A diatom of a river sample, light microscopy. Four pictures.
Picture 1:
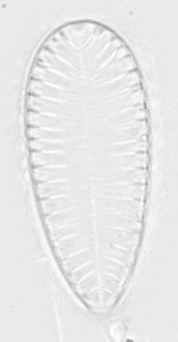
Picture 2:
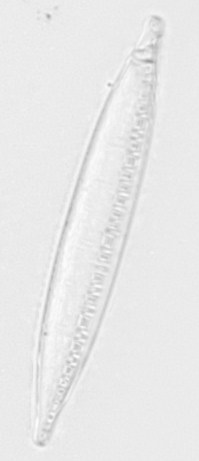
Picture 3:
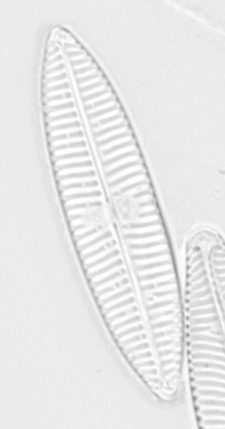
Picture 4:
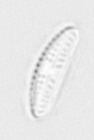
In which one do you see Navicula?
In picture 3.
